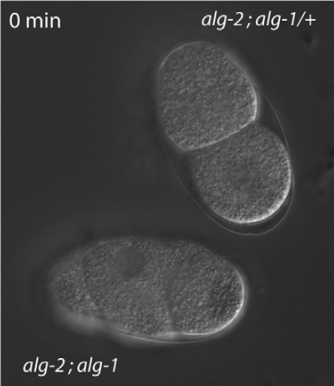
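Two early nematode embryos inside thin, transparent oval eggshells are seen in differential interference contrast. The upper embryo is made of a few very large blastomeres with finely granular cytoplasm, one larger and one smaller cell pressed together along a straight boundary and filling the shell. Neither embryo yet shows any body shape.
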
